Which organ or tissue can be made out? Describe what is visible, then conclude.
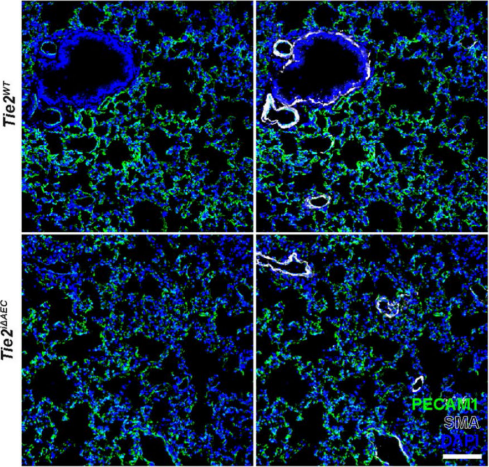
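A lace-like meshwork of thin septa around many empty air spaces. A large round airway-like tube with a thick ring of densely packed nuclei. White rings surround some larger tubes.
Answer: lung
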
